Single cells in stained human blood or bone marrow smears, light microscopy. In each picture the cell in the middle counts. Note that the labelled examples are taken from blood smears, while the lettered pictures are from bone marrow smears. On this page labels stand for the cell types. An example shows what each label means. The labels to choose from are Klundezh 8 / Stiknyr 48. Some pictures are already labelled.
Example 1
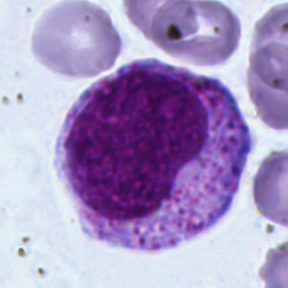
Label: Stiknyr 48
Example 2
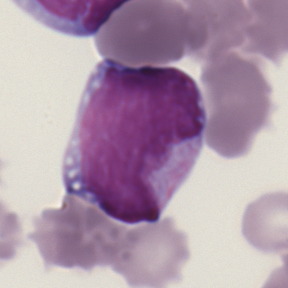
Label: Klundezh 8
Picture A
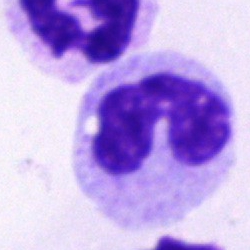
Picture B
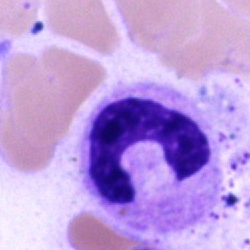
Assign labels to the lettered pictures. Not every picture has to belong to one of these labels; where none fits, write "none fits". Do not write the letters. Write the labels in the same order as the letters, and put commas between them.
none fits, none fits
